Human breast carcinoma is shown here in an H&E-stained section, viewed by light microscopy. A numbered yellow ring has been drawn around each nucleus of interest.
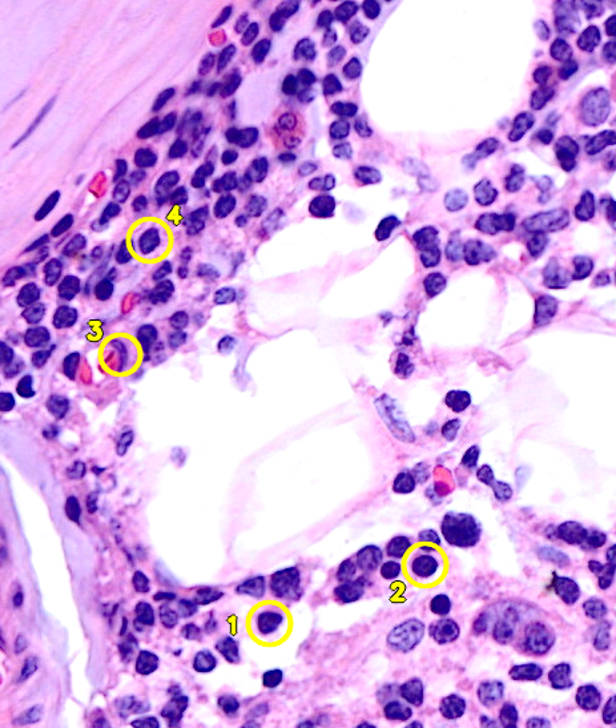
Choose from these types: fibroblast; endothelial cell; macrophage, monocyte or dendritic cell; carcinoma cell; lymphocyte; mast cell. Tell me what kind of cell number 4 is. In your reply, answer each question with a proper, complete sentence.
The cell numbered 4 has been identified as a lymphocyte.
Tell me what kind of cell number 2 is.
The cell numbered 2 represents a lymphocyte.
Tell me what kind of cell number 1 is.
Number 1 is placed on a lymphocyte here.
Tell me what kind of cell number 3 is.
Belonging to an endothelial cell is the nucleus that carries the number 3.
